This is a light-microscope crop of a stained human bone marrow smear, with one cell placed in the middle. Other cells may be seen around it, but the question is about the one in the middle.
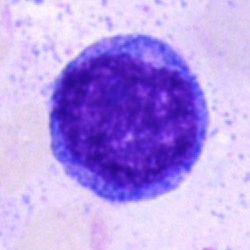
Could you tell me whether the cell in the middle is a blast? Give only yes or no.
yes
